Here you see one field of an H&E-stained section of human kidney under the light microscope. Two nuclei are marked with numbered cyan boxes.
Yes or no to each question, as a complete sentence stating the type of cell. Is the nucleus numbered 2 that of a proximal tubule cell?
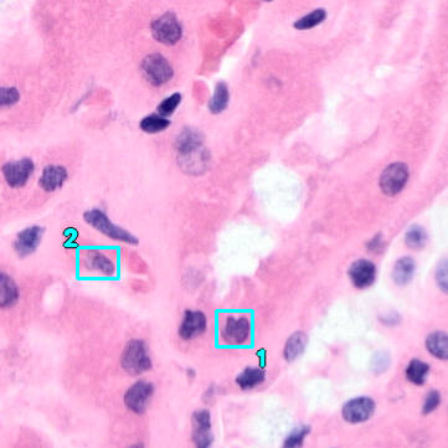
No, cell 2 is correctly identified as an endothelial cell and not as a proximal tubule cell.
